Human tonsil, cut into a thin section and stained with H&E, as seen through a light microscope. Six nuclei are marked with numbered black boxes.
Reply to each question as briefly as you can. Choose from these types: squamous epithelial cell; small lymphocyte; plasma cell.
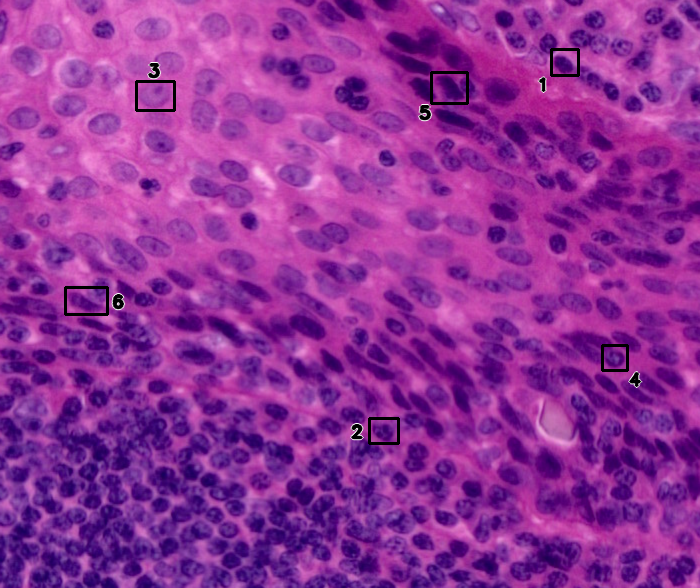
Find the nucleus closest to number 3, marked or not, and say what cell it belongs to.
squamous epithelial cell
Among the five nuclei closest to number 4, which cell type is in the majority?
squamous epithelial cell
